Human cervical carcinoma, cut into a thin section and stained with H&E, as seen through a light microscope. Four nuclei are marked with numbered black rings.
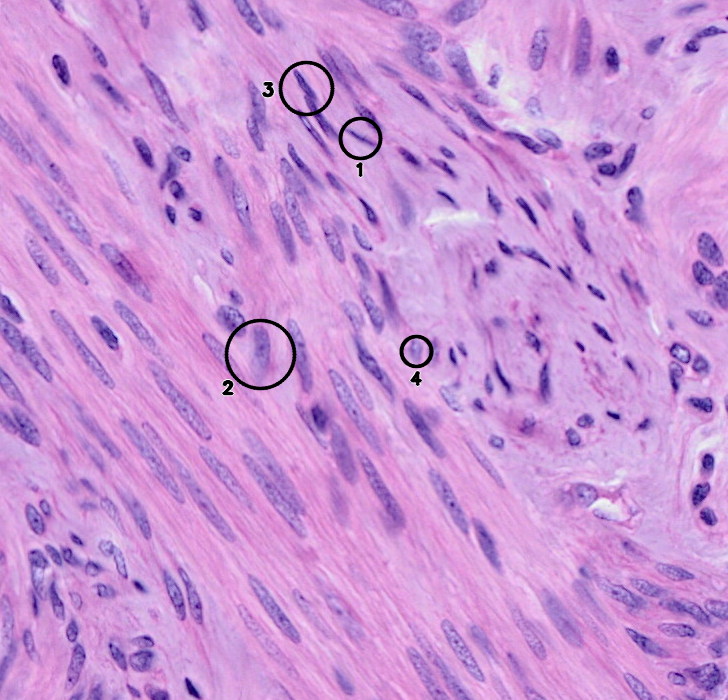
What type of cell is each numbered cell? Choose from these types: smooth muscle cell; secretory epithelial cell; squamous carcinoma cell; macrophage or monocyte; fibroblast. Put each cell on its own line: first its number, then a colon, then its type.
1: fibroblast
2: smooth muscle cell
3: fibroblast
4: smooth muscle cell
